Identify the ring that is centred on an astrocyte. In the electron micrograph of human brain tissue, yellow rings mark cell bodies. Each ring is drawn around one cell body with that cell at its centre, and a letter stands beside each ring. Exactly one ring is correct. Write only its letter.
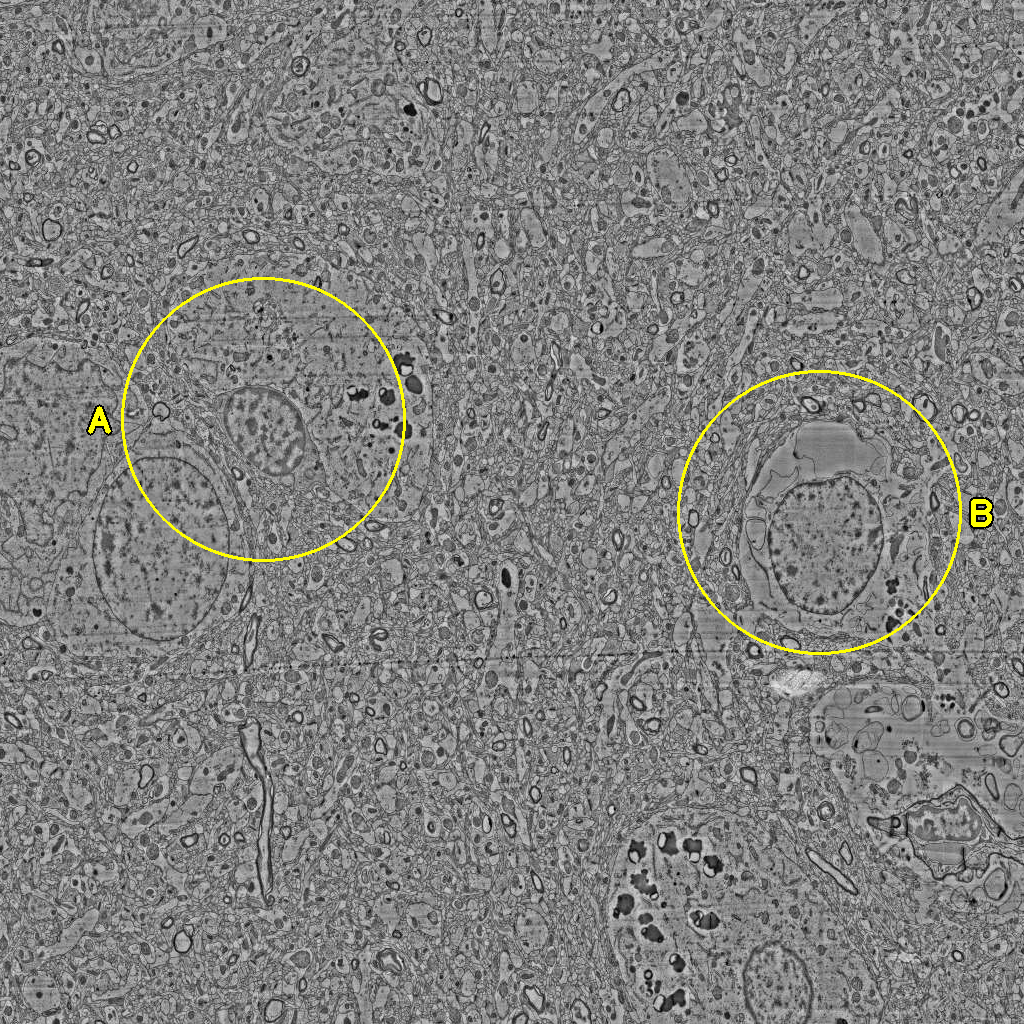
B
